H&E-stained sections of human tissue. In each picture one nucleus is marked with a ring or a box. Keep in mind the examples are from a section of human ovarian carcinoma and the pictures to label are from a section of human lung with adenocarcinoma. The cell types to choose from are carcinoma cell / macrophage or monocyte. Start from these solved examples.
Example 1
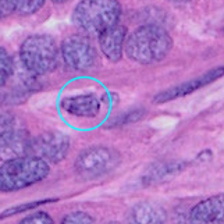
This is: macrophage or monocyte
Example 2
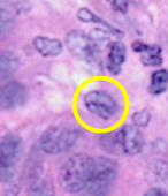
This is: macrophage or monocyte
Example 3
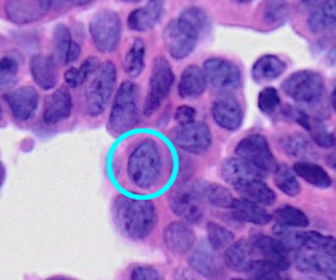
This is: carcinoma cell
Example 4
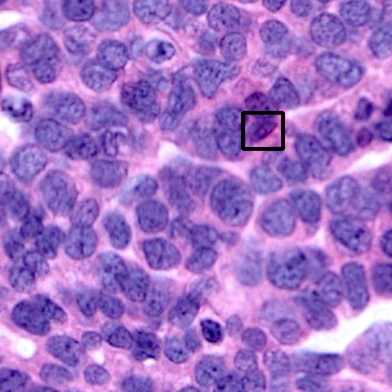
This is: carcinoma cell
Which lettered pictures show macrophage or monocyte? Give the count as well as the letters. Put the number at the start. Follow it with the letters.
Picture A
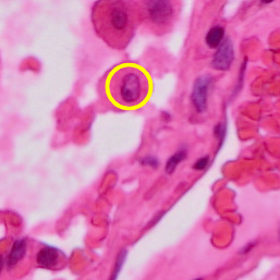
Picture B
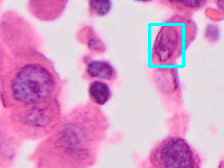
2: A, B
